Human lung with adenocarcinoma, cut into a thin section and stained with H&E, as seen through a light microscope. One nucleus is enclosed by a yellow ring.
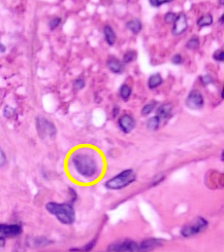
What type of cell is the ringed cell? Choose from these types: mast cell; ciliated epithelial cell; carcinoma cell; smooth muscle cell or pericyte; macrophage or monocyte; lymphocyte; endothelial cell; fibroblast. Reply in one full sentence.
The ringed cell is a mast cell.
